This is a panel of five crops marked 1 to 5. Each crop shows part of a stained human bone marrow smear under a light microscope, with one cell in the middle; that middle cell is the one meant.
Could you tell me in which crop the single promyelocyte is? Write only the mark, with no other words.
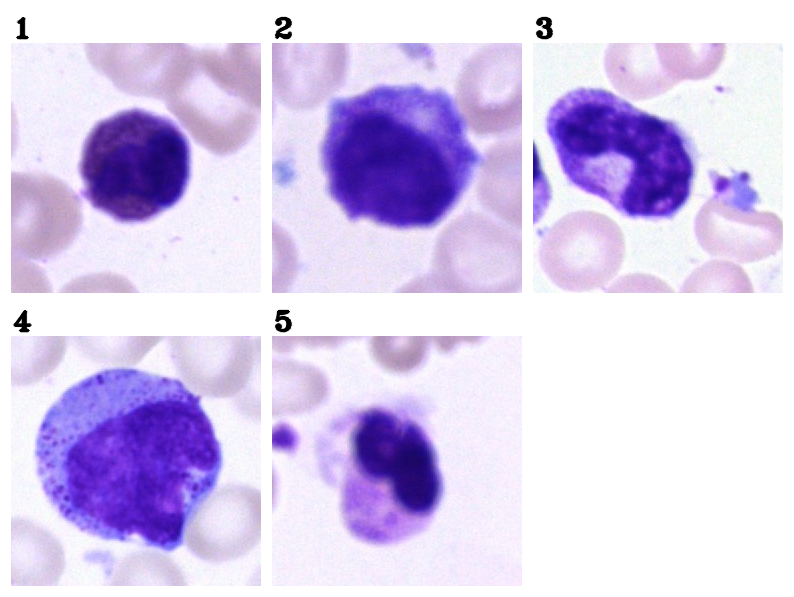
4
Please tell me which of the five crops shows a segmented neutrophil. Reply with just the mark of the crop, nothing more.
5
